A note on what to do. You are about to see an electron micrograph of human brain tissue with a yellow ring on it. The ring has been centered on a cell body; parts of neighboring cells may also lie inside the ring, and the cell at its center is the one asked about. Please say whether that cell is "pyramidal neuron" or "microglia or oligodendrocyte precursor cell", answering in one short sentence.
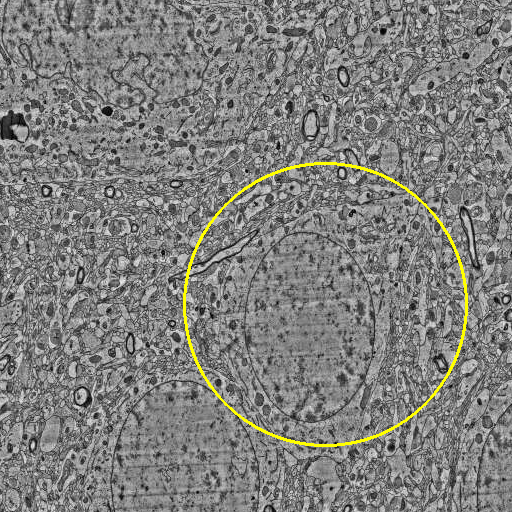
The yellow ring sits on a pyramidal neuron.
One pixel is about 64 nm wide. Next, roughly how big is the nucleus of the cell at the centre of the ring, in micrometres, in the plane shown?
Roughly 12 by 8 micrometres is the size of the nucleus in this plane.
